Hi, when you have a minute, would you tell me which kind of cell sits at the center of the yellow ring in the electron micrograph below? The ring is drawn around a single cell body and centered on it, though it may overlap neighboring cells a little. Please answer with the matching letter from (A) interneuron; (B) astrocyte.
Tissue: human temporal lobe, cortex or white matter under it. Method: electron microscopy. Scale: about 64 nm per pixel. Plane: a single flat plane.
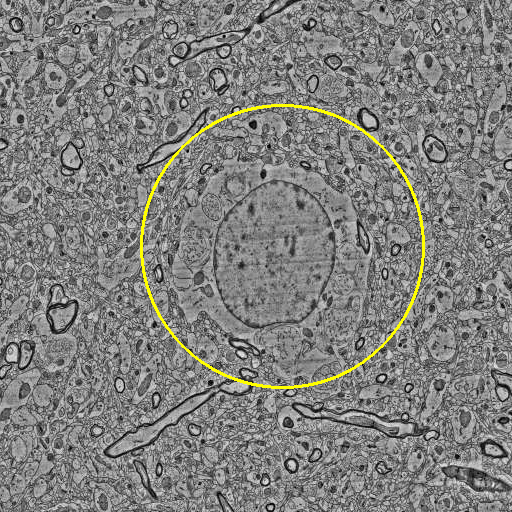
B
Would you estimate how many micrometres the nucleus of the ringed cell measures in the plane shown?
About 9 by 8 micrometers, in this plane.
